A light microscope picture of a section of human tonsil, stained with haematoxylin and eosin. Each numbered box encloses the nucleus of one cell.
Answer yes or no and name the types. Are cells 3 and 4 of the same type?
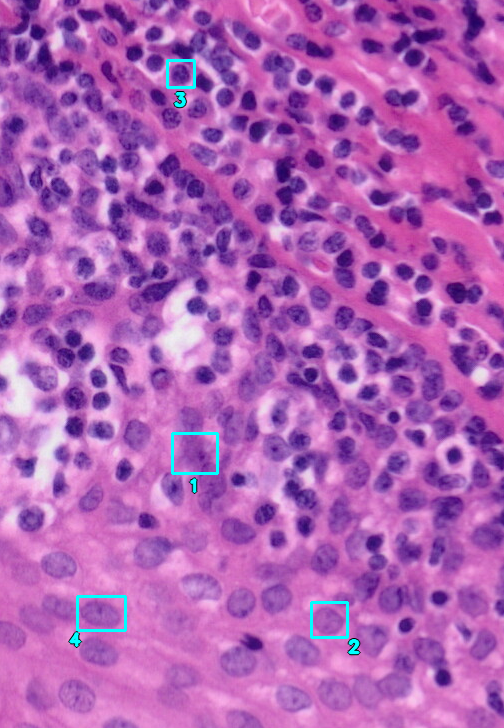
No, cell 3 here is a plasma cell, and cell 4 here is a squamous epithelial cell.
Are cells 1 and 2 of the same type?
Yes, sure, cells 1 and 2 are both squamous epithelial cells.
